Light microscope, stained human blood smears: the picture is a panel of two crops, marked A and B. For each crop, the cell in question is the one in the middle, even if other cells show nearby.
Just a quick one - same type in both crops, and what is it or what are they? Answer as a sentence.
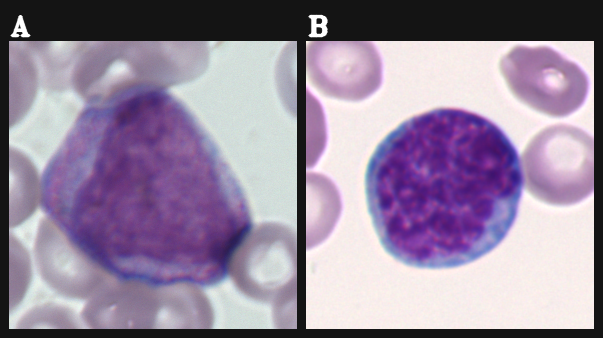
No, enter a promyelocyte for crop A and a myeloblast for crop B.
